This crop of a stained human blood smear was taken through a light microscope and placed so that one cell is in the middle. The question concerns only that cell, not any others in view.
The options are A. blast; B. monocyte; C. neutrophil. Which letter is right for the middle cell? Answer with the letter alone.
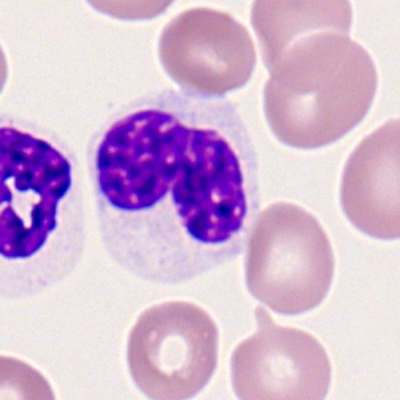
C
